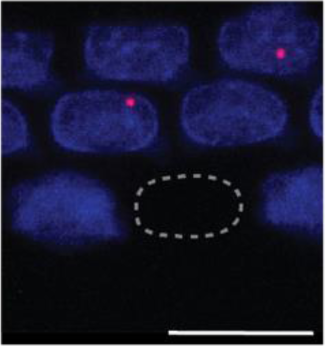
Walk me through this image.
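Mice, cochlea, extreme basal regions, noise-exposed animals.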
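Oval, blue cell bodies of outer hair cells lie in regular rows against a dark background, with a few small red dots within some of them. In one row, a gap outlined by a dashed oval marks where a cell body is missing.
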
